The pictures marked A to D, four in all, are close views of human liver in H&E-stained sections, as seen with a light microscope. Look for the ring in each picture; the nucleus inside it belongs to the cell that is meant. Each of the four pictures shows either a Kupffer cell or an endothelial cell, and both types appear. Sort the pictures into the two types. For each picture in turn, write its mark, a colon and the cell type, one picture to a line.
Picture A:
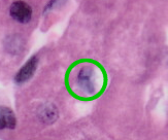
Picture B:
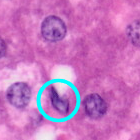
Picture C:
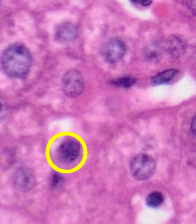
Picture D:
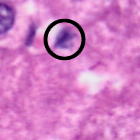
A: endothelial cell
B: endothelial cell
C: Kupffer cell
D: endothelial cell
